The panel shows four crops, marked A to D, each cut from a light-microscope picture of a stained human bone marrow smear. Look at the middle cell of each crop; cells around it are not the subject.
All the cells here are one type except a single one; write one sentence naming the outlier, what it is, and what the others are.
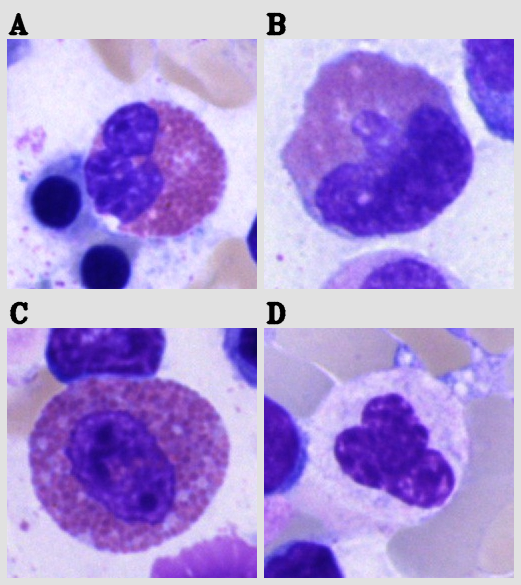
Crop D is the exception in this set, showing a neutrophil while the others show eosinophils.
